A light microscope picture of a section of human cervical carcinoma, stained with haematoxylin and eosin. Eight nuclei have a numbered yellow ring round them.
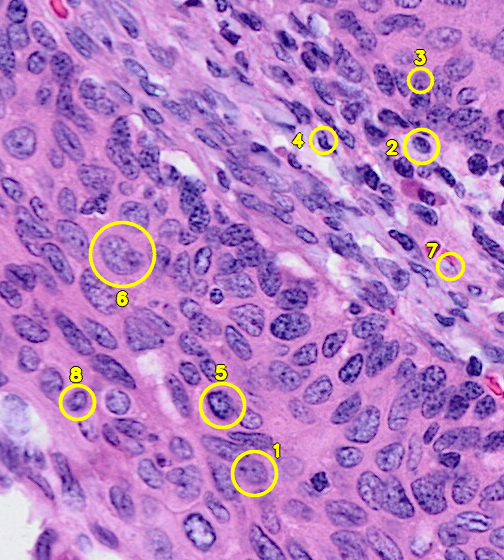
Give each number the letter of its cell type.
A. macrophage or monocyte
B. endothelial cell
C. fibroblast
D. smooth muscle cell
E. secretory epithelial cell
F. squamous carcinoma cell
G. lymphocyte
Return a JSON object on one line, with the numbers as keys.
{"1": "F", "2": "G", "3": "F", "4": "G", "5": "F", "6": "F", "7": "B", "8": "F"}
